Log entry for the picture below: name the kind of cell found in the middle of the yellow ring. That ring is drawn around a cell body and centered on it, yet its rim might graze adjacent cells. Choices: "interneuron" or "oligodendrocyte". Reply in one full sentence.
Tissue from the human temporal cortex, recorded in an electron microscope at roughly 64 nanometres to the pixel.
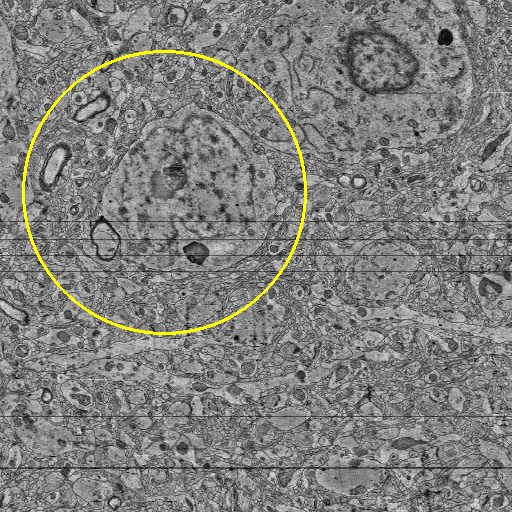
The cell in the middle of the yellow ring in this picture is an interneuron.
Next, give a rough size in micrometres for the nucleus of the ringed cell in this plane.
Approximately 9 micrometres across in this plane.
